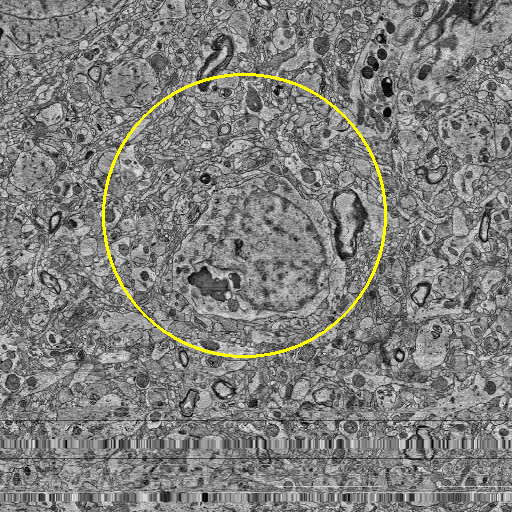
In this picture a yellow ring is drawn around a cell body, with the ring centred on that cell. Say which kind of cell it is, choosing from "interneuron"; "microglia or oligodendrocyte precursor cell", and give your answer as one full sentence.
Here it is an interneuron that sits at the centre of the drawn yellow ring.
